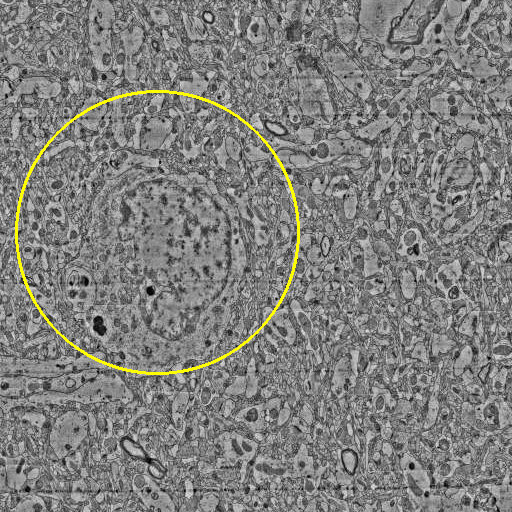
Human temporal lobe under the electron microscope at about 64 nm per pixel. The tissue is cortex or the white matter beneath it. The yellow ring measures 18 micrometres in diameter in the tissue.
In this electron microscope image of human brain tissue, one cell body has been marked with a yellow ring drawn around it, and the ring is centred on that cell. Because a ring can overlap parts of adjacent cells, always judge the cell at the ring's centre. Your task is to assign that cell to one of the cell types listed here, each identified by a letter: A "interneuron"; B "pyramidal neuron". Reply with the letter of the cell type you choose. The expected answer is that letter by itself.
A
